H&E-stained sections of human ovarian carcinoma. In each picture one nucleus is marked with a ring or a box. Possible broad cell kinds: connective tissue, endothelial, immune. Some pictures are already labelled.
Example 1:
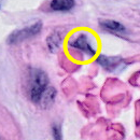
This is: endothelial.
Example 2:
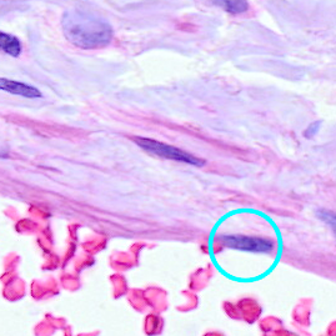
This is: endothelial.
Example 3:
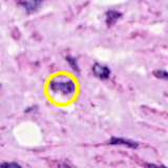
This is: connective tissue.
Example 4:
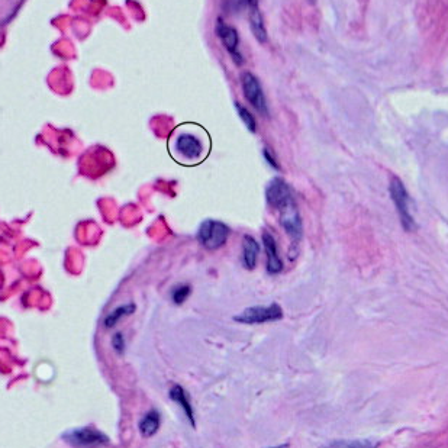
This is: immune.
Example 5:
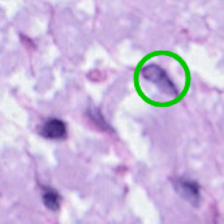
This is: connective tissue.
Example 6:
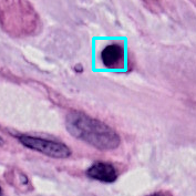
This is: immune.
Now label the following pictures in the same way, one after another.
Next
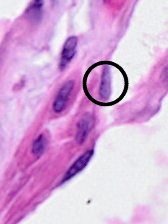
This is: endothelial.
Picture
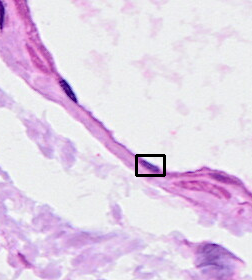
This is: endothelial.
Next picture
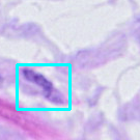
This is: connective tissue.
